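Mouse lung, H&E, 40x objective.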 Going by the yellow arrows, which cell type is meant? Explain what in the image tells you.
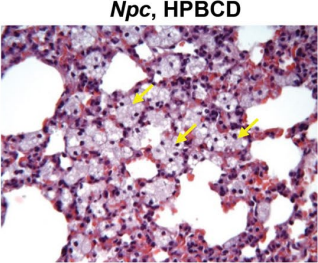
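The arrows point to large cells with pale, vacuolated, foamy-looking cytoplasm. They stand out from the pink-staining alveolar walls with small dark nuclei.
Answer: Foamy macrophages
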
